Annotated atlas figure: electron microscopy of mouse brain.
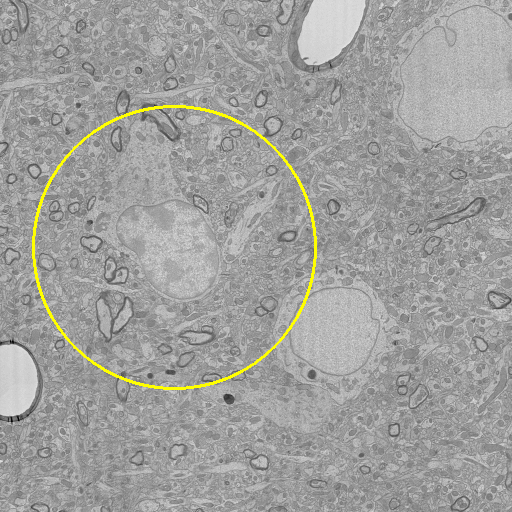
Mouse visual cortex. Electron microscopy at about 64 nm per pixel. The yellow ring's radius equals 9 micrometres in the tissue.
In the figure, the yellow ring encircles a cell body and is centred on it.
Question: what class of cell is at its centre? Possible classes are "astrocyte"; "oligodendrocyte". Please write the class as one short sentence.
The yellow ring is drawn around an oligodendrocyte.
